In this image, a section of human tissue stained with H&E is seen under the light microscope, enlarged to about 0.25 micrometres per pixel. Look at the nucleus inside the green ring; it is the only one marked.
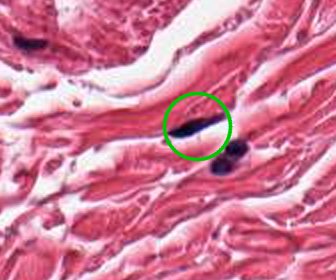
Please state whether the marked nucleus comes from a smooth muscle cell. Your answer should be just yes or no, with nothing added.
no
